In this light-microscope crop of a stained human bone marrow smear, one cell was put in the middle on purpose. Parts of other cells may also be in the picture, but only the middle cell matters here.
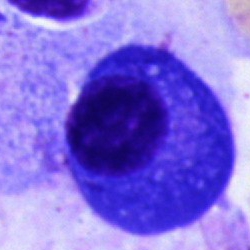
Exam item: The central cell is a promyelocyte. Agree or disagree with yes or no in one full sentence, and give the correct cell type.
No, the cell occupying the centre is a plasma cell, not a promyelocyte.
